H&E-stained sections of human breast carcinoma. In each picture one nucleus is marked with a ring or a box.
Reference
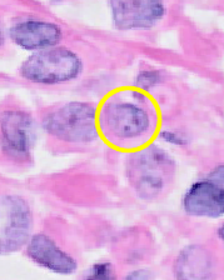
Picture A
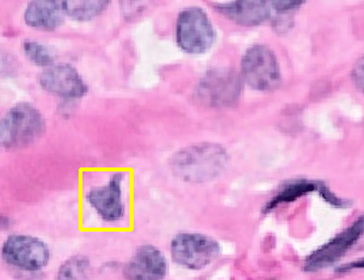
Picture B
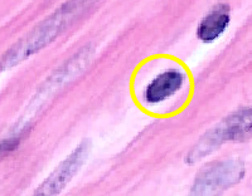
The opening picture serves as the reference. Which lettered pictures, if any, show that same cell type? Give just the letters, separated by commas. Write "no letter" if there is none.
no letter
